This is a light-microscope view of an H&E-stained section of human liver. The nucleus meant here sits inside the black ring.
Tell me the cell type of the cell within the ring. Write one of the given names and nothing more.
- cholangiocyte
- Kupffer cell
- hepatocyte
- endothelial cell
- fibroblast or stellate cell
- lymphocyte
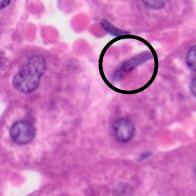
Kupffer cell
